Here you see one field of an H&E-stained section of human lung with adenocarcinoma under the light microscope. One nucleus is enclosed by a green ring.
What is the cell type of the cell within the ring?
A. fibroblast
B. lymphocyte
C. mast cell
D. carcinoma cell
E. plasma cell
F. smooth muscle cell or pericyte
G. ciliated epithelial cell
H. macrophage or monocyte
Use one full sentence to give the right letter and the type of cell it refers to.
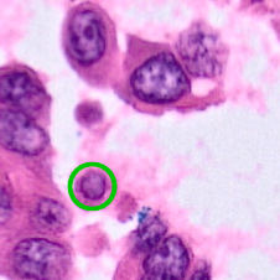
The correct pick is option H; the cell within the ring is a macrophage or monocyte.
